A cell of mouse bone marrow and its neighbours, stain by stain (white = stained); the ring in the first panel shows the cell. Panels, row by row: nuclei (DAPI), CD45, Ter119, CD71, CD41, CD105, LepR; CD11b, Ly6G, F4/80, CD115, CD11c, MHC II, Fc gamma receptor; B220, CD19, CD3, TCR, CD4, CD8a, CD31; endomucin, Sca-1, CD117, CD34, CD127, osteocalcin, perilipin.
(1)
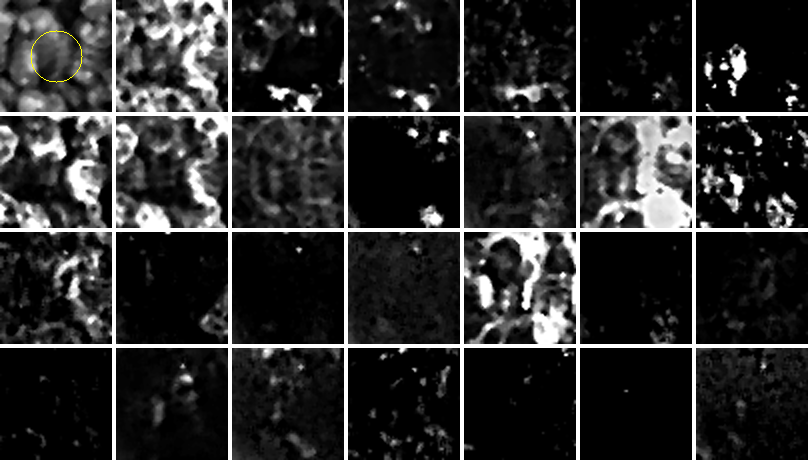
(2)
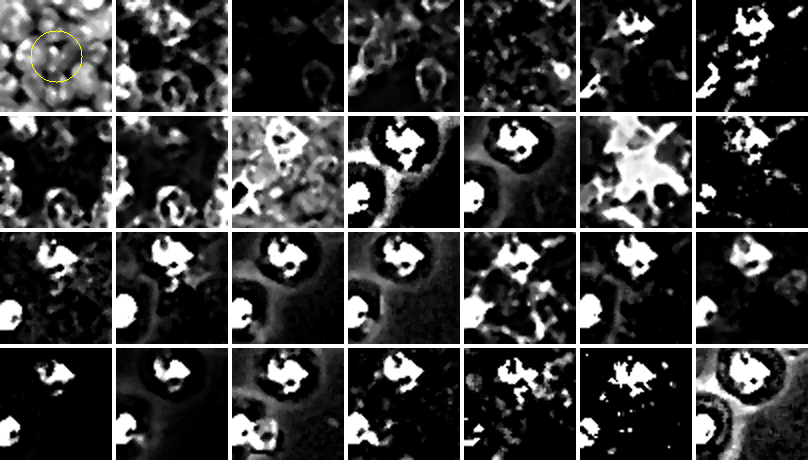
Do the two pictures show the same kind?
Yes, both are LepR-positive perivascular cells.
